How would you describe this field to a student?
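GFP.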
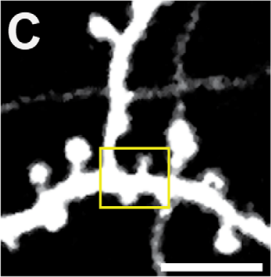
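A single brightly fluorescent neurite of a neuron runs across a dark background, with one branch running vertically and another running horizontally along the bottom. Along the shaft small protrusions jut out, many with round bright heads on short thin necks. Fainter, thinner processes cross the field in the background behind the bright branch.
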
